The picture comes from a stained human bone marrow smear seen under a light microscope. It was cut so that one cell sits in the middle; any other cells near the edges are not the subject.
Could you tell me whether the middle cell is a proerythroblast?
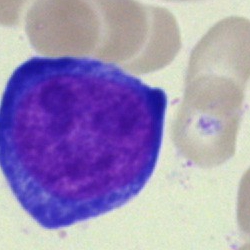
yes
